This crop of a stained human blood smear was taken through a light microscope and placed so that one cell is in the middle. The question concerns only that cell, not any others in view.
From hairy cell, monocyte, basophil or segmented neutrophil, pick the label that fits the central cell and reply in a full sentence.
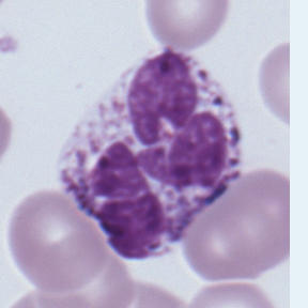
The central element of this crop is a cell, namely a basophil.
